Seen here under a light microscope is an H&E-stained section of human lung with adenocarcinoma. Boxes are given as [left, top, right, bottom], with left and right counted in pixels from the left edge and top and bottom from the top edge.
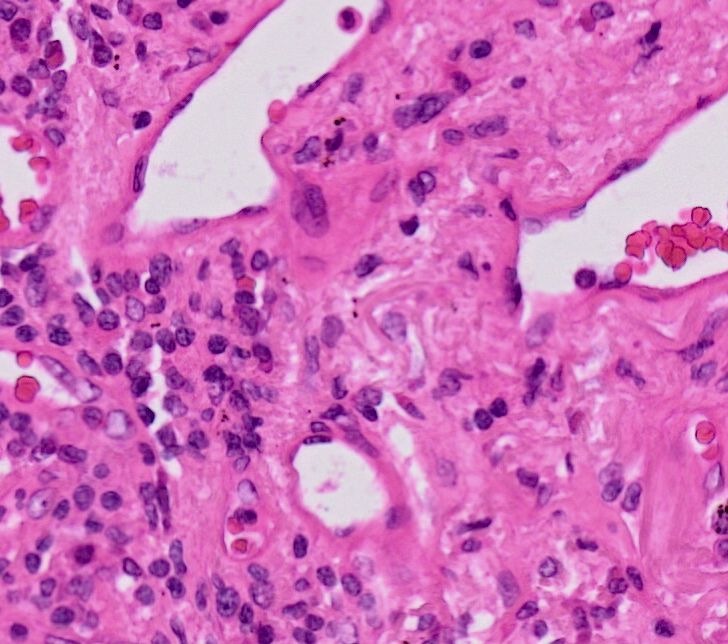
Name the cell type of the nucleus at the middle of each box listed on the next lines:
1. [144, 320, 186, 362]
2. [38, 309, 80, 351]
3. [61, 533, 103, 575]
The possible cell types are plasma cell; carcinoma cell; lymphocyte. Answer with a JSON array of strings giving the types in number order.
["lymphocyte", "lymphocyte", "plasma cell"]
